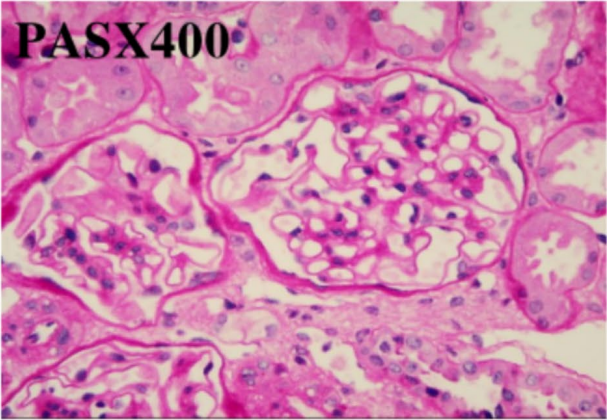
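This is kidney tissue showing a glomerulus with neighbouring tubules, the basement membranes and matrix stained magenta. The glomerular tuft is made of many open capillary loops outlined by thin magenta lines, with purple nuclei sitting in the central stalks between the loops. A second, partly cut glomerulus lies at the left edge. The tubules around them are lined by cuboidal cells with pale pink cytoplasm and round purple nuclei, resting on magenta basement membranes, and thin strips of interstitium separate them.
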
